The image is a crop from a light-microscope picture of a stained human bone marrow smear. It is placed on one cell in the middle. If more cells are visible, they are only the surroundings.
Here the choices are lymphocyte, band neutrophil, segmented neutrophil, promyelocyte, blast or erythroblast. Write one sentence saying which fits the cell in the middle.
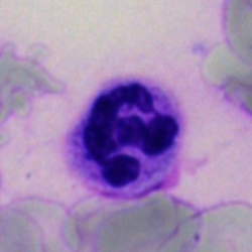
On this slide crop, the central cell is a segmented neutrophil.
